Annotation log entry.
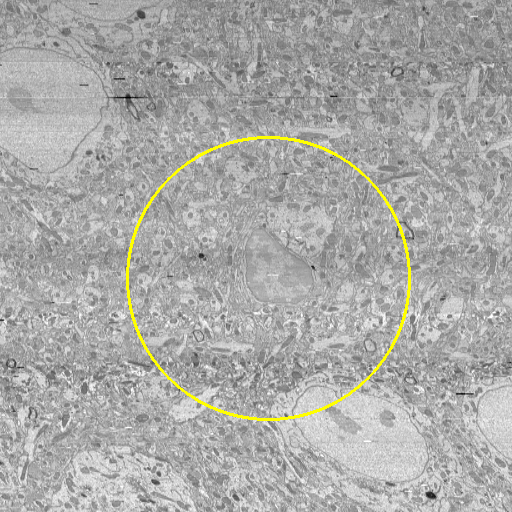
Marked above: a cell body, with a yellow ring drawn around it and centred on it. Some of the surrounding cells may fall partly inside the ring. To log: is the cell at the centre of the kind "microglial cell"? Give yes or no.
Yes, the cell at the centre is of that kind.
